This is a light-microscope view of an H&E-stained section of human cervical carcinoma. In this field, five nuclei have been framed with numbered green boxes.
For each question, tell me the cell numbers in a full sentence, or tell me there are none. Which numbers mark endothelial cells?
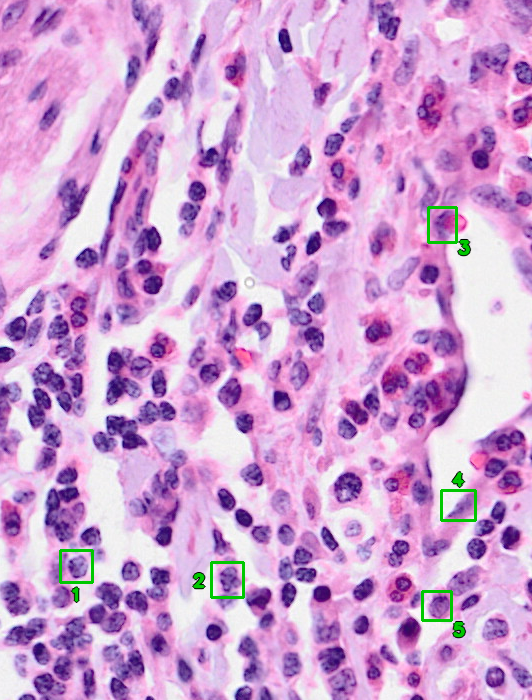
The cells that have numbers 3 and 4 are endothelial cells.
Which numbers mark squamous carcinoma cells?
The numbered set holds no squamous carcinoma cells whatsoever.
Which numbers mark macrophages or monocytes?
Cell 5 is a macrophage or monocyte, whereas each of the other numbered cells is not.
